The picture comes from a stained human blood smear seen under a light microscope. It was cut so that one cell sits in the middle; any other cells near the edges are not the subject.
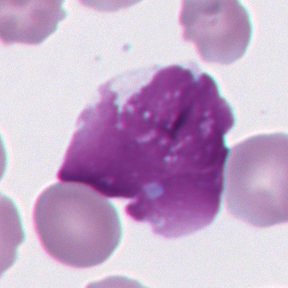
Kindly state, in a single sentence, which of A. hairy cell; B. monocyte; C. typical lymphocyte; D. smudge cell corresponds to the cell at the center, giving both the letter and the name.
The correct option, D, names the middle cell as a smudge cell.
